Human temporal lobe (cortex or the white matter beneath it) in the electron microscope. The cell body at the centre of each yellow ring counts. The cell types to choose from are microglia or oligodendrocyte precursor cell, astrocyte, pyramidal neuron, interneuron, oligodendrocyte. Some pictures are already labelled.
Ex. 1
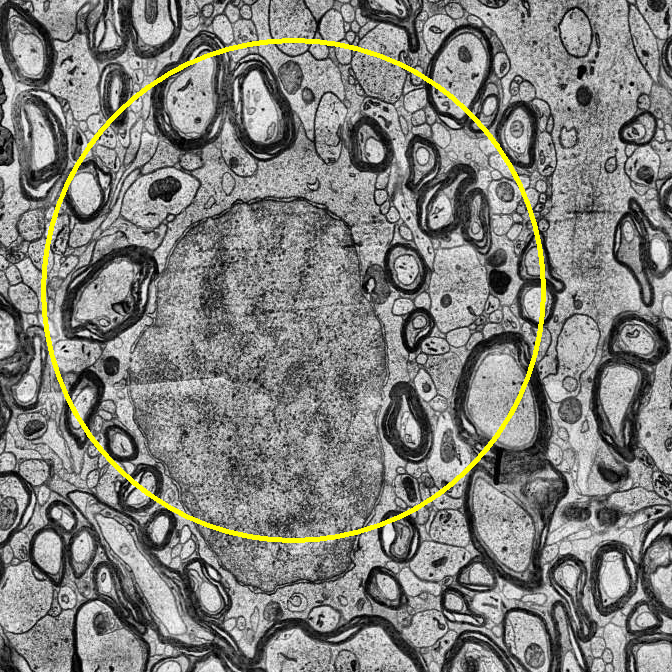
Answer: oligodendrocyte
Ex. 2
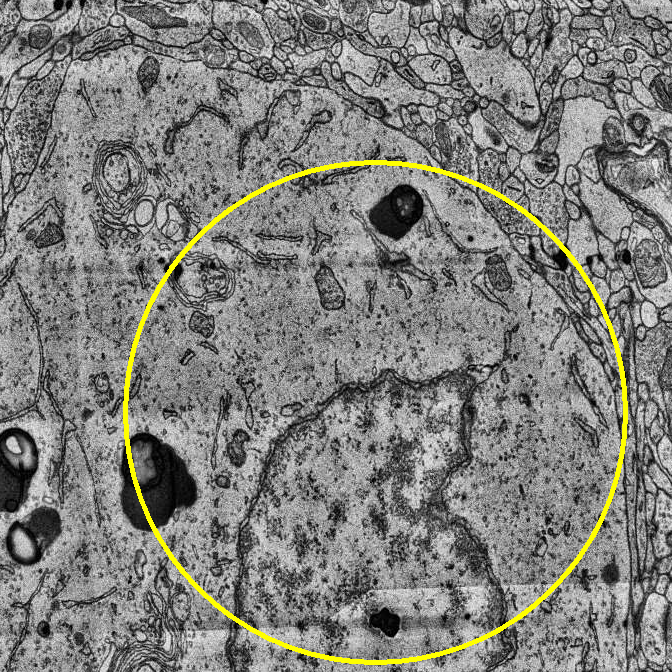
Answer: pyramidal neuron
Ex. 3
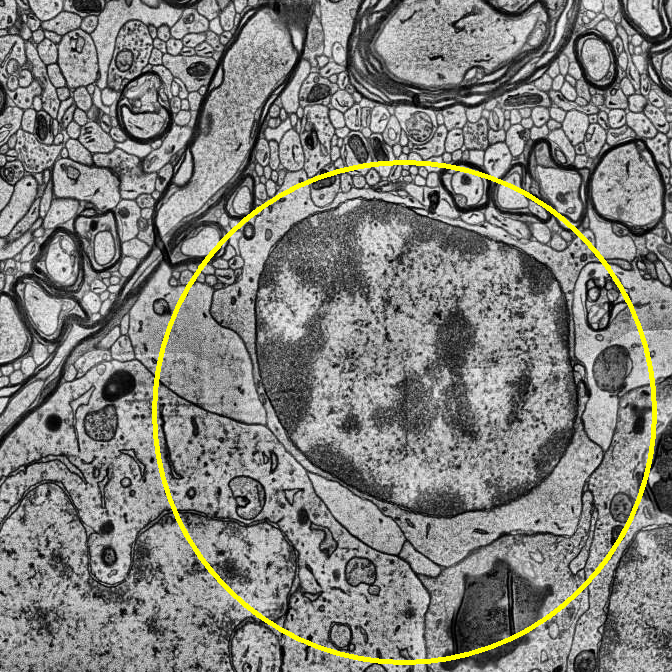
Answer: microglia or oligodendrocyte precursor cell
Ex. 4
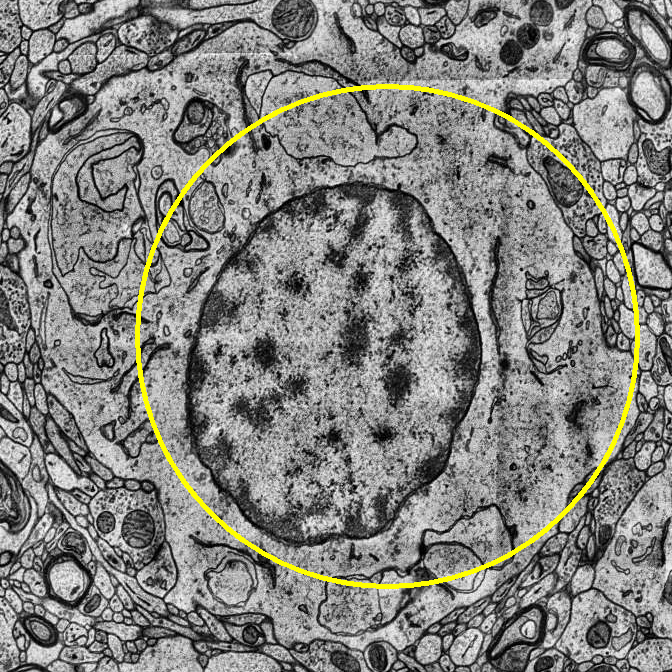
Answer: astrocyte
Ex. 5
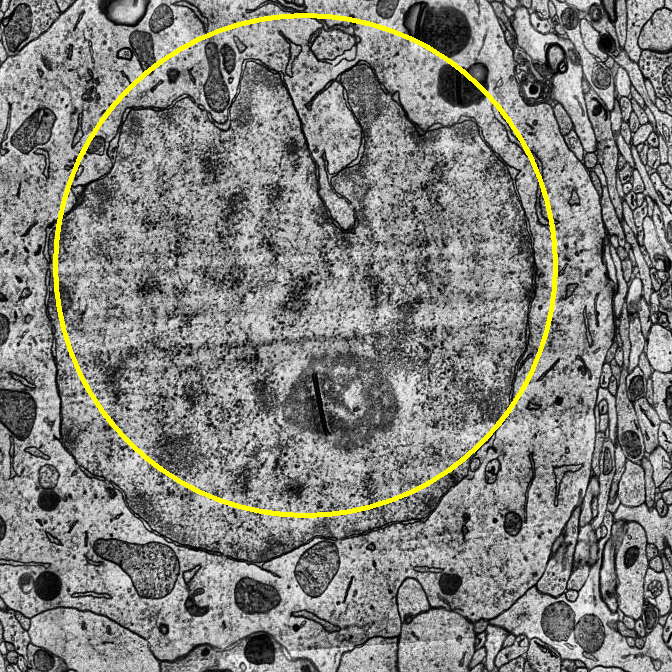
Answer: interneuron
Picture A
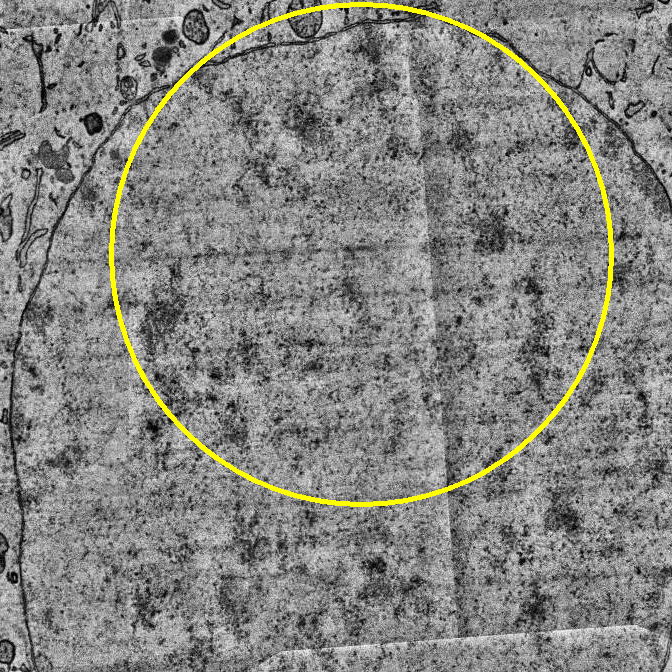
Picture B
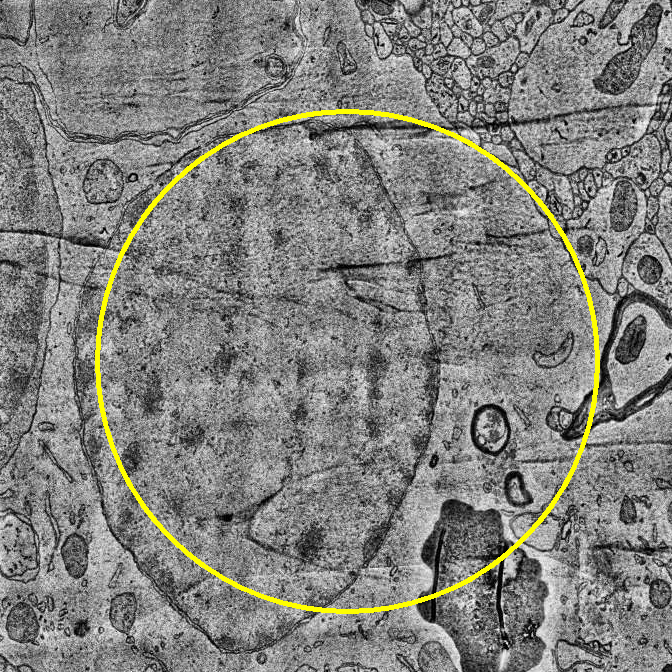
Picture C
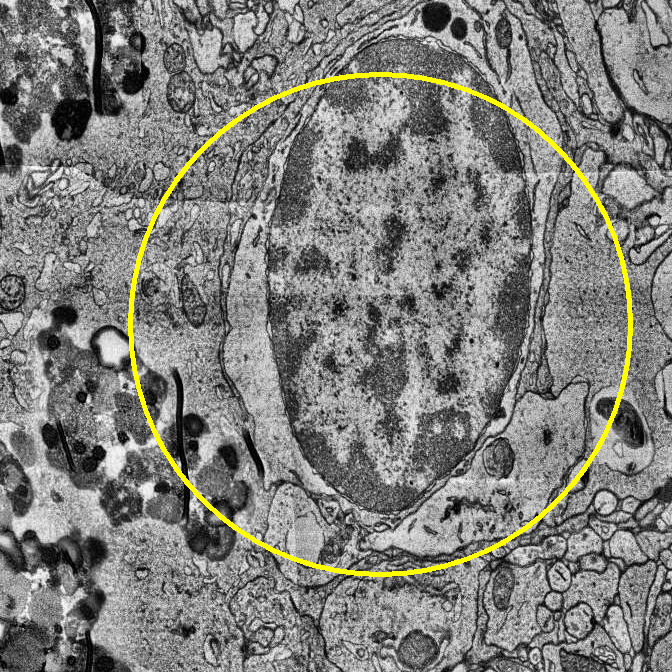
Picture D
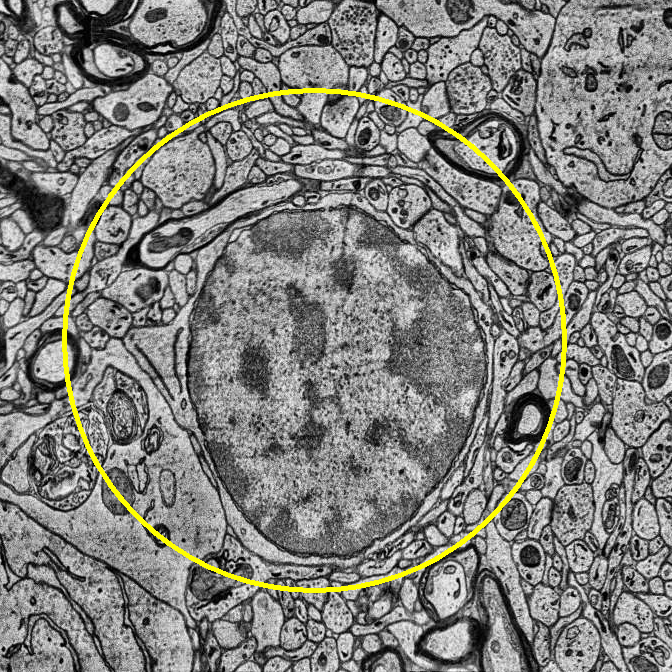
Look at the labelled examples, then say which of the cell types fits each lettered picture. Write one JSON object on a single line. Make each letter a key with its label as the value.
{"A": "pyramidal neuron", "B": "astrocyte", "C": "microglia or oligodendrocyte precursor cell", "D": "microglia or oligodendrocyte precursor cell"}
